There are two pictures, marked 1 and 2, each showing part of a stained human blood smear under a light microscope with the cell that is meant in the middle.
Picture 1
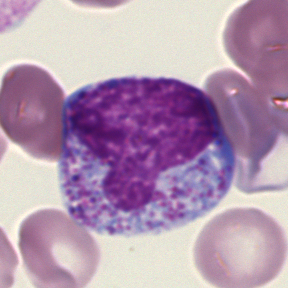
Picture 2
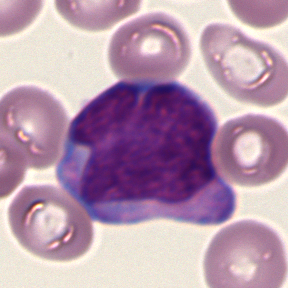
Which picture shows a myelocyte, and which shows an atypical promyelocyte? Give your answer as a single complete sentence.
Picture 1 shows a myelocyte and picture 2 shows an atypical promyelocyte.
